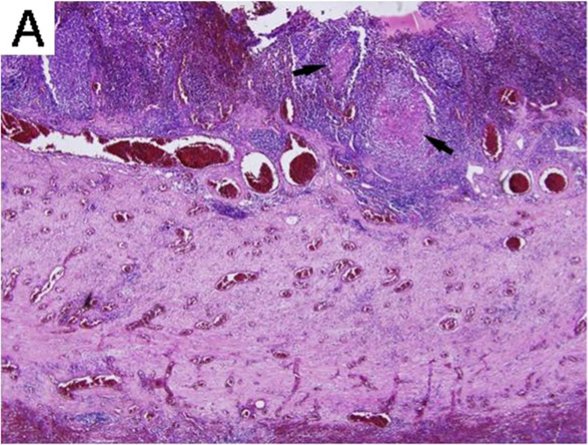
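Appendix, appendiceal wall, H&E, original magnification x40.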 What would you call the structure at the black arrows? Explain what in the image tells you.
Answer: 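The arrows point at rounded, paler pink nodules within the dense purple cellular layer. The nodules are rimmed by densely packed dark-staining small cells. The answer: granulomas.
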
